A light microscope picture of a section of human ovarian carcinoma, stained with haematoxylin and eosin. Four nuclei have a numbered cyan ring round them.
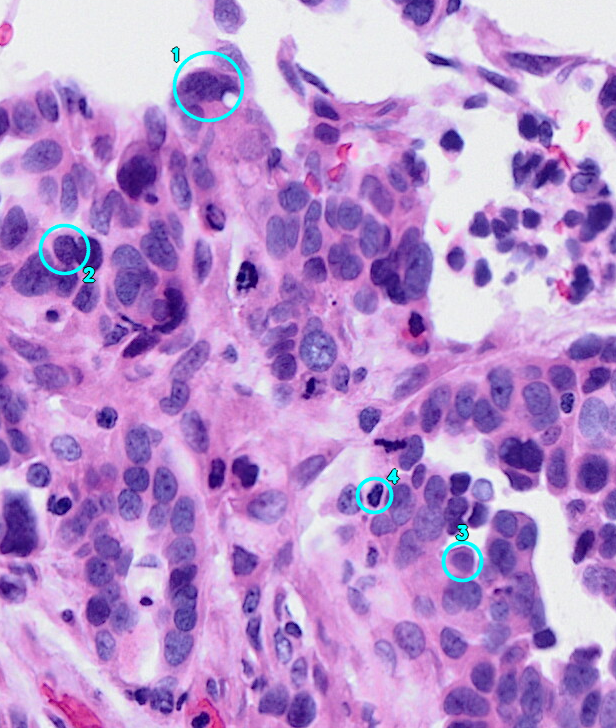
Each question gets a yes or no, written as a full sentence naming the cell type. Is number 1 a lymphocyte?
No, cell 1, which is a carcinoma cell, is not a lymphocyte.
